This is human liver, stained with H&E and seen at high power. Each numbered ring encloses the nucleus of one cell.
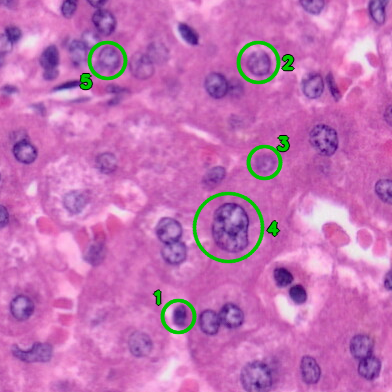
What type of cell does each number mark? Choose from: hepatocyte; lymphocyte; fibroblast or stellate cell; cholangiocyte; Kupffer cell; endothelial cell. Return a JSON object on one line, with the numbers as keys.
{"1": "lymphocyte", "2": "hepatocyte", "3": "hepatocyte", "4": "hepatocyte", "5": "cholangiocyte"}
